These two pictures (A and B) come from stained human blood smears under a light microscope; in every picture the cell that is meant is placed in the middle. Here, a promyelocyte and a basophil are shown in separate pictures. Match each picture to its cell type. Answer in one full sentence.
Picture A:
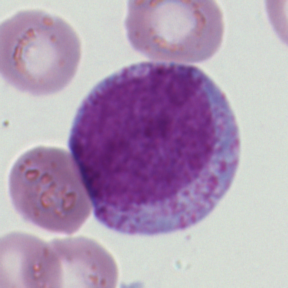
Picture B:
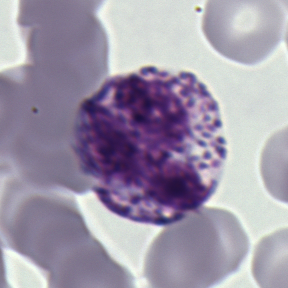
In picture A the cell is a promyelocyte; in picture B, a basophil.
